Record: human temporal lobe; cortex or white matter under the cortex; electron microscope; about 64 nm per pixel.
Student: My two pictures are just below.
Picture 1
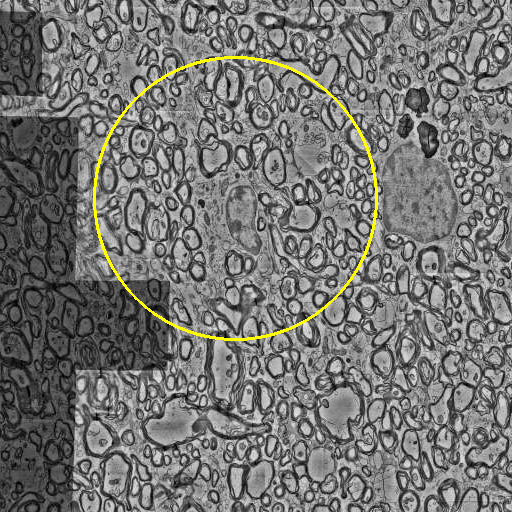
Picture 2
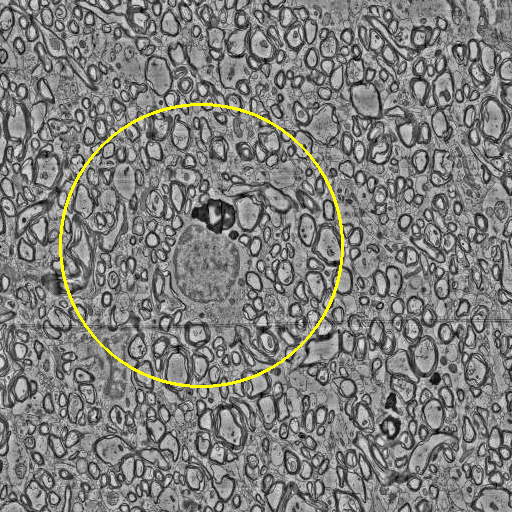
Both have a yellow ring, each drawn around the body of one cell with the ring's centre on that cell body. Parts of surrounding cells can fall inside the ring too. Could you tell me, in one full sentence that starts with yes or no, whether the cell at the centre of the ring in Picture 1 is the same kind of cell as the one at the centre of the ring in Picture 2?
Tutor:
No, the two cells are of two kinds.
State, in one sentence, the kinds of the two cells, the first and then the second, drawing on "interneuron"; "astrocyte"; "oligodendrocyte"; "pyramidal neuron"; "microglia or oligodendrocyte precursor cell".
The ring in the second picture is centred on an oligodendrocyte, the ring in the first on a microglial cell or oligodendrocyte precursor cell.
